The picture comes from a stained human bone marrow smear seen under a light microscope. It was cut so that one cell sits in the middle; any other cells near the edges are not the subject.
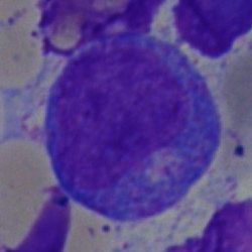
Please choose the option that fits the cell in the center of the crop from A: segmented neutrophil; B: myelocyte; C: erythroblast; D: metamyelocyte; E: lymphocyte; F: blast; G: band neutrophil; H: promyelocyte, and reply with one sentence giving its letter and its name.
Option H is right, the centrally situated cell being a promyelocyte.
